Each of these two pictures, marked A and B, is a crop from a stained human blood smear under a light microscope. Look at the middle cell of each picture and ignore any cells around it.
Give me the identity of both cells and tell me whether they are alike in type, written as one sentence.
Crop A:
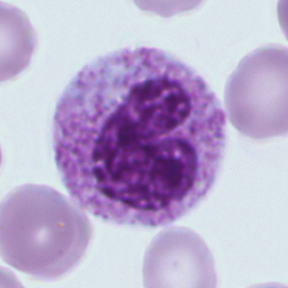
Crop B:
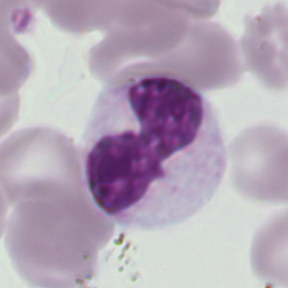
Yes, the cells that both crops show at the centre are band neutrophils.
